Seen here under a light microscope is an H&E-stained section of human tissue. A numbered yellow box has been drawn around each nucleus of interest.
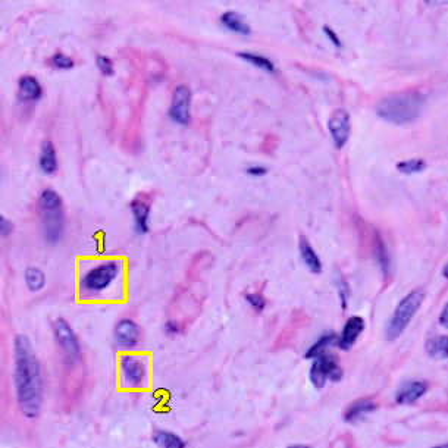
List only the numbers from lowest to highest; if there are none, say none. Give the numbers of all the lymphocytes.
1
